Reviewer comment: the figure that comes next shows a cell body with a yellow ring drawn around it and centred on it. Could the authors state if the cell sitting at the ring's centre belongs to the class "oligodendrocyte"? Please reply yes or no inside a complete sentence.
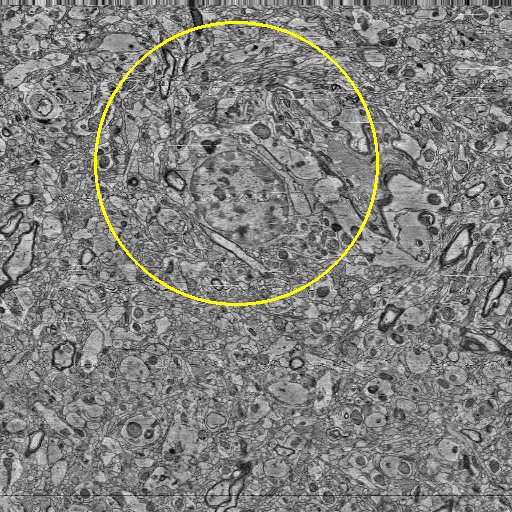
Yes, in the figure, the cell at the ring's centre belongs to that class.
